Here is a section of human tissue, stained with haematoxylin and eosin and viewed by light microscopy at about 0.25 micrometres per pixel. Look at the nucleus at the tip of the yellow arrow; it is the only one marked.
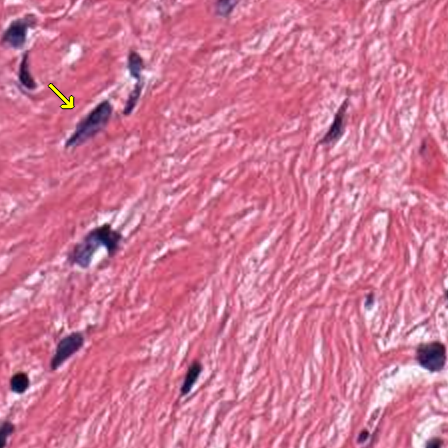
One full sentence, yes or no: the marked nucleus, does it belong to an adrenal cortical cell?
No, what carries the marked nucleus is a supporting cell rather than an adrenal cortical cell.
